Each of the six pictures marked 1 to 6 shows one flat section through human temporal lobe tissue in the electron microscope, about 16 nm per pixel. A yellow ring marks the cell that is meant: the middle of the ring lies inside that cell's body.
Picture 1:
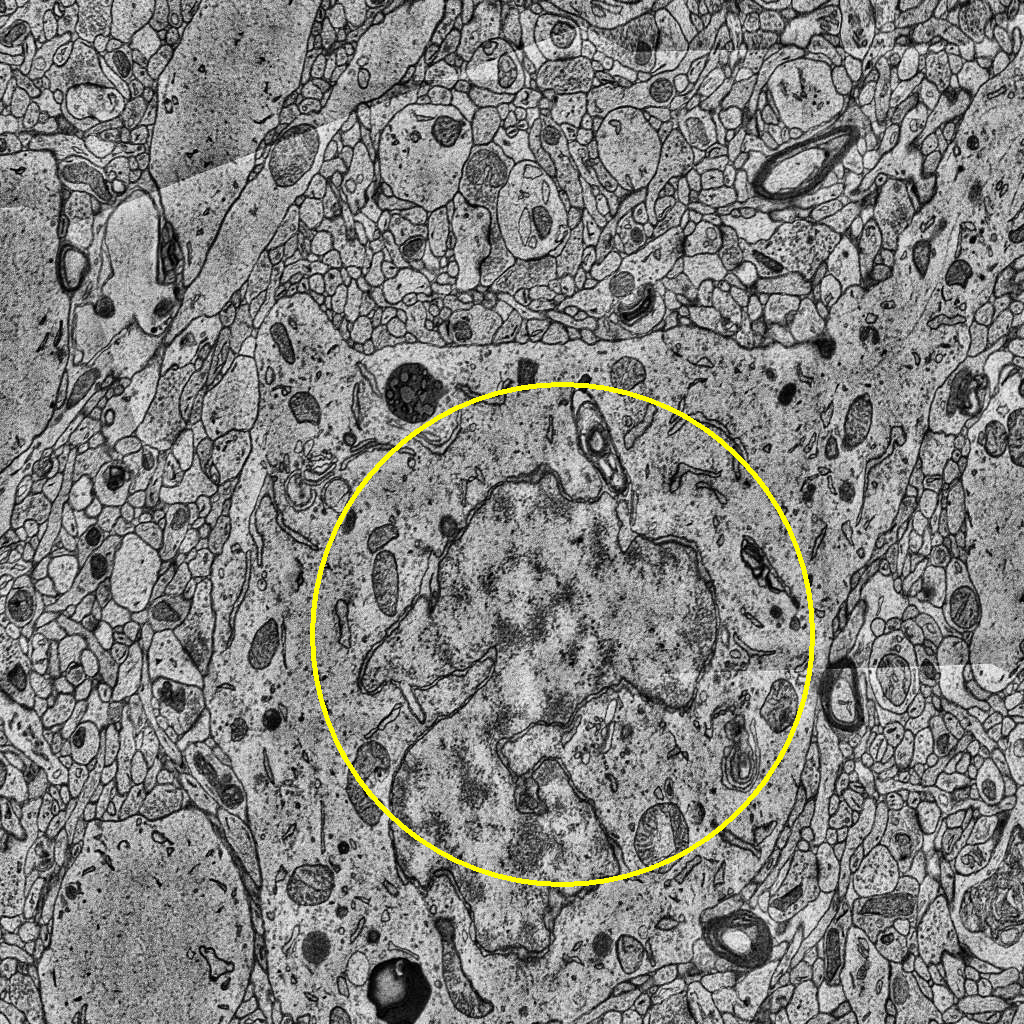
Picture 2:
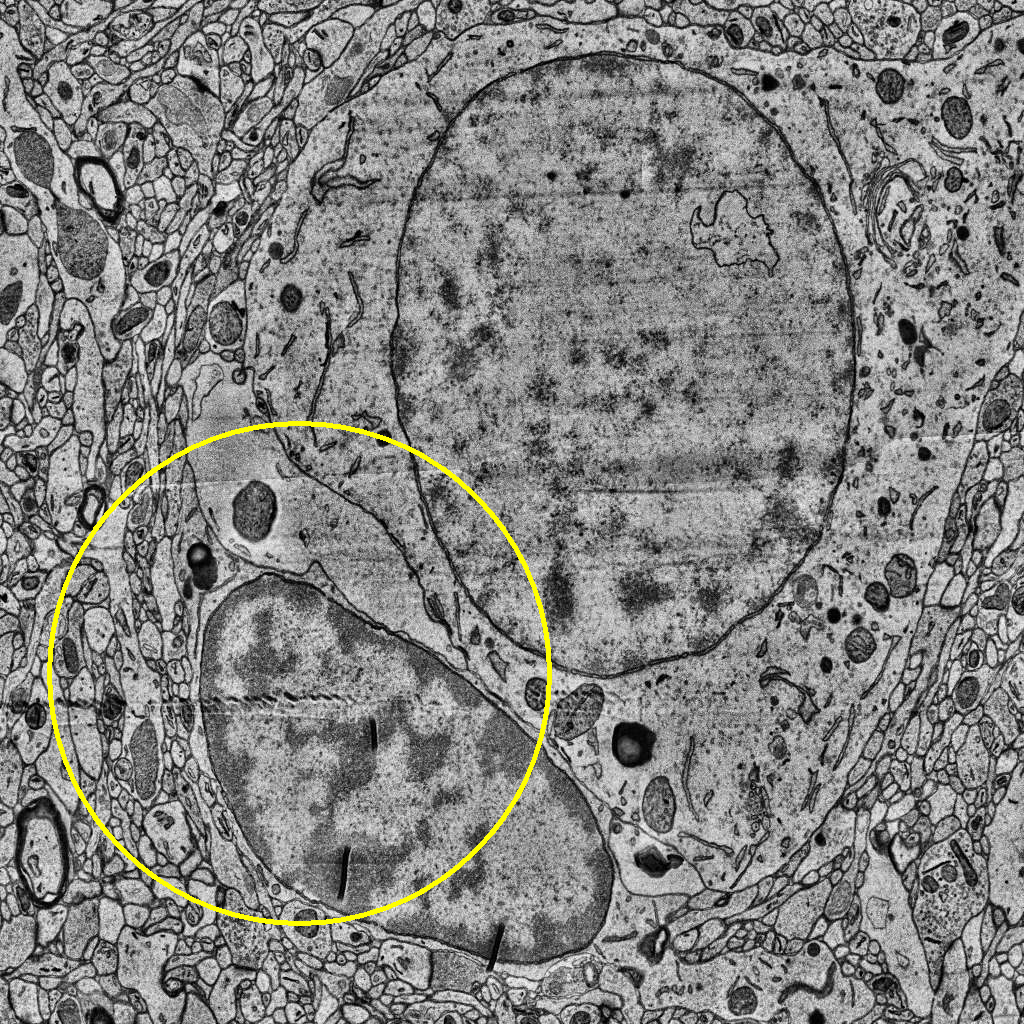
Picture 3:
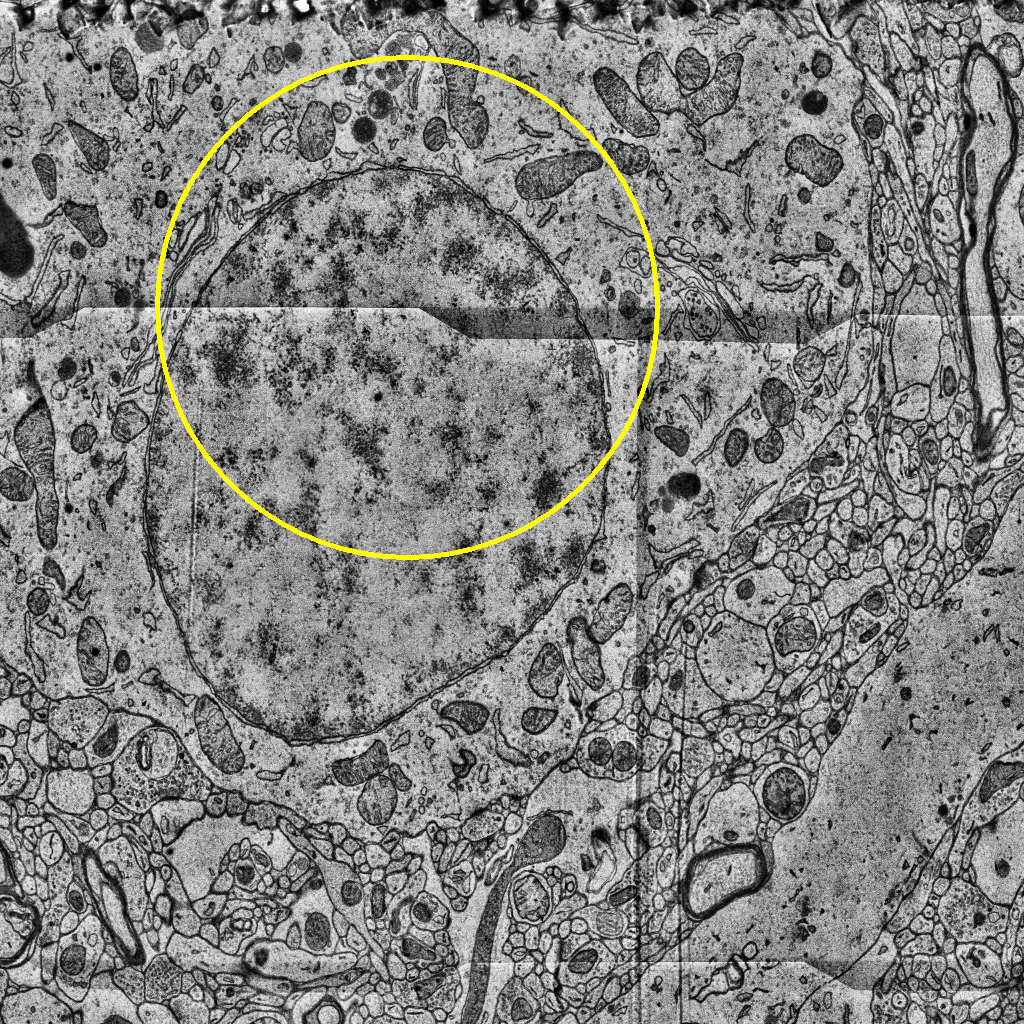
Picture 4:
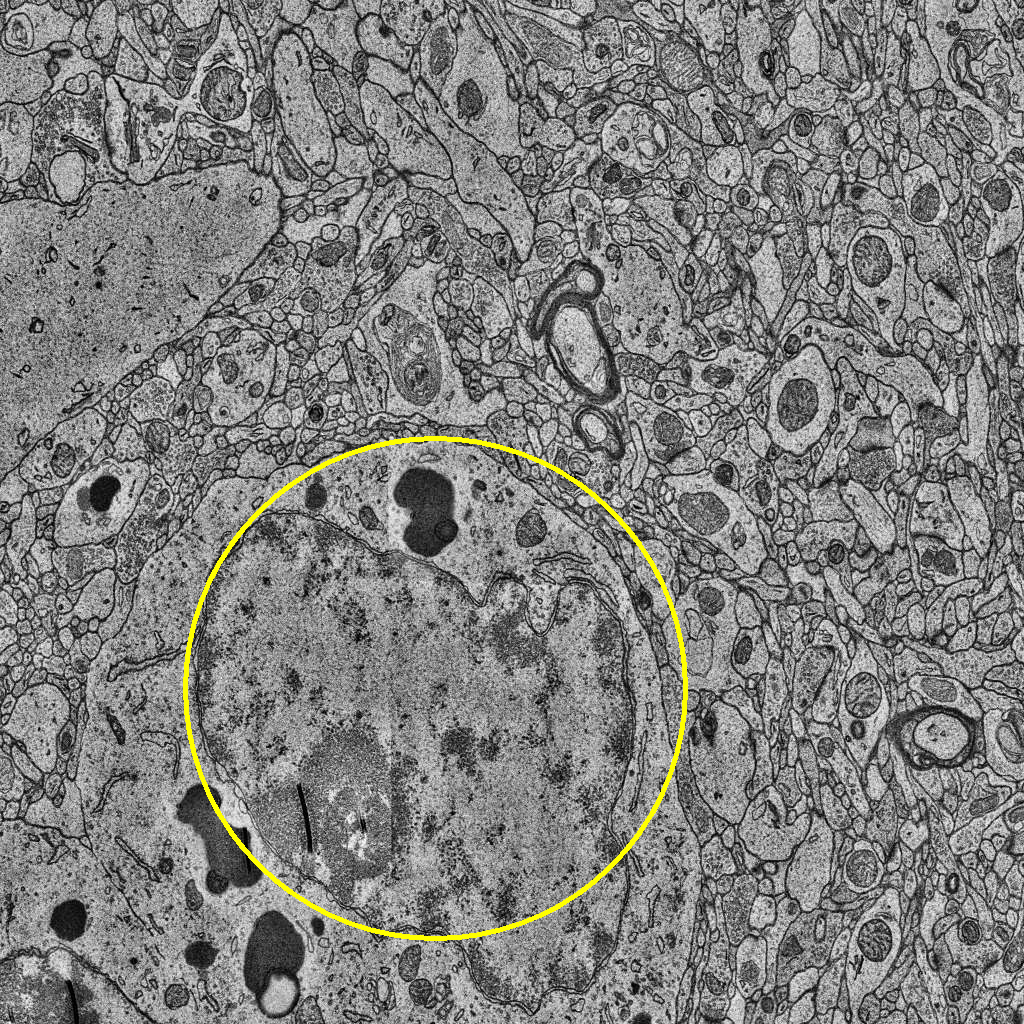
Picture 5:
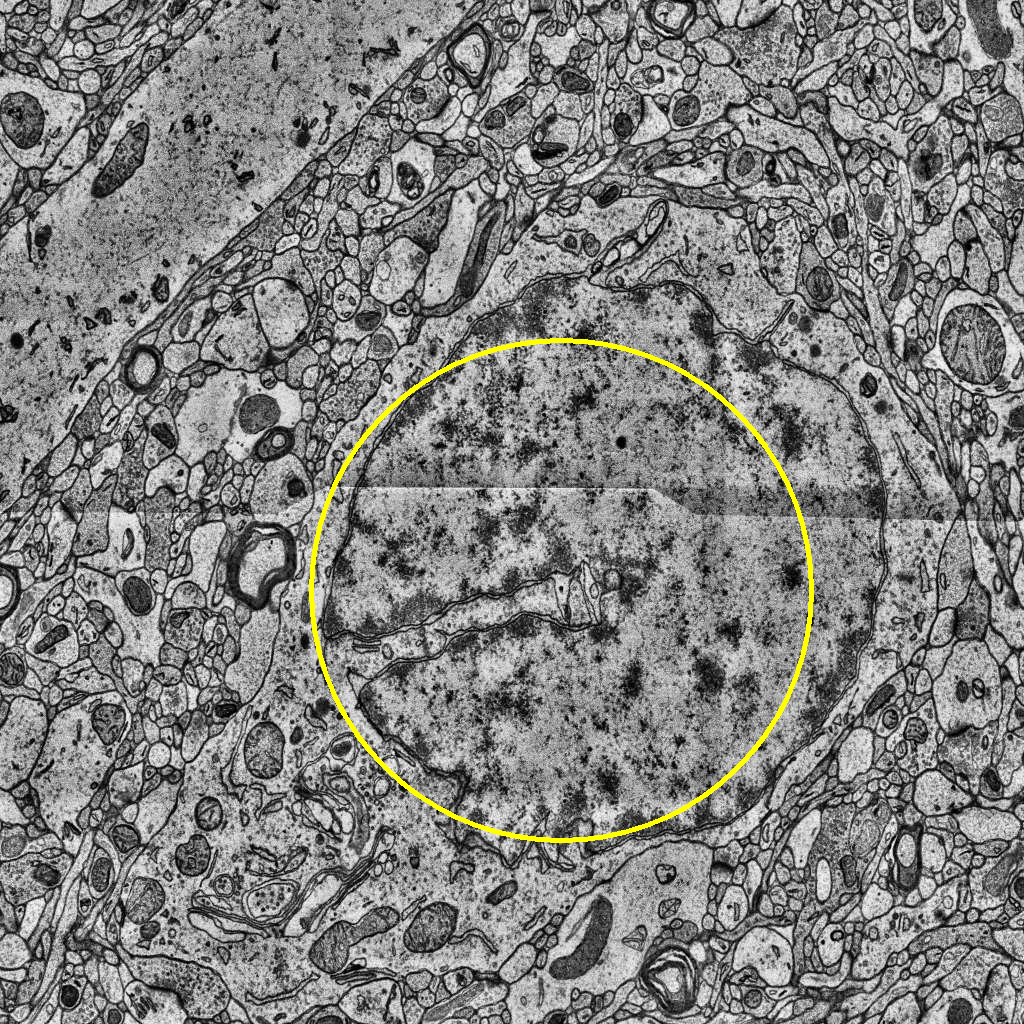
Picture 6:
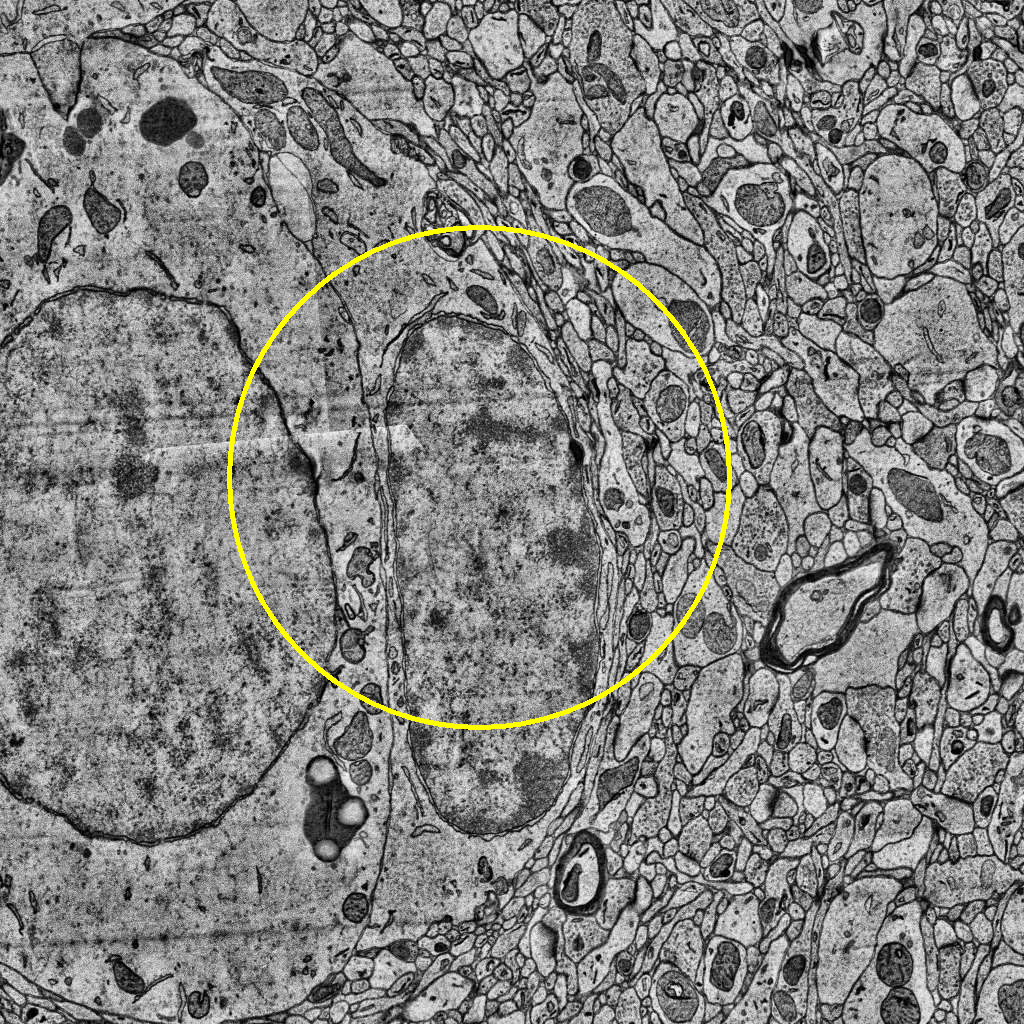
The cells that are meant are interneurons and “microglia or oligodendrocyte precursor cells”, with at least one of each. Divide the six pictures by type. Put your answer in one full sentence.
Pictures 1, 3, 4 and 5 show interneurons, and pictures 2 and 6 show “microglia or oligodendrocyte precursor cells”.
